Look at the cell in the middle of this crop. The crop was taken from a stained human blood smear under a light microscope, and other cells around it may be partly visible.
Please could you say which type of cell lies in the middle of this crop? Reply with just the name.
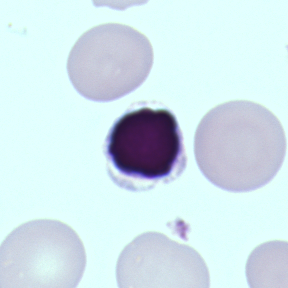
erythroblast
